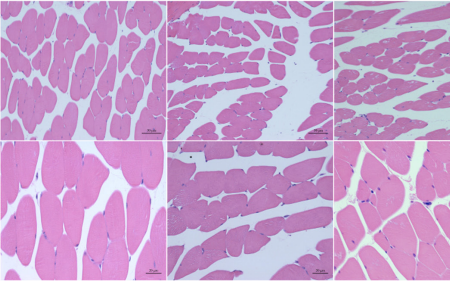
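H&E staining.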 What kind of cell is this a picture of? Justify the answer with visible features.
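Pink, polygonal profiles packed side by side in cross section. Small dark nuclei sit at the edges of the profiles. Pale spaces separate the profiles.
Hence: muscle fibers.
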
